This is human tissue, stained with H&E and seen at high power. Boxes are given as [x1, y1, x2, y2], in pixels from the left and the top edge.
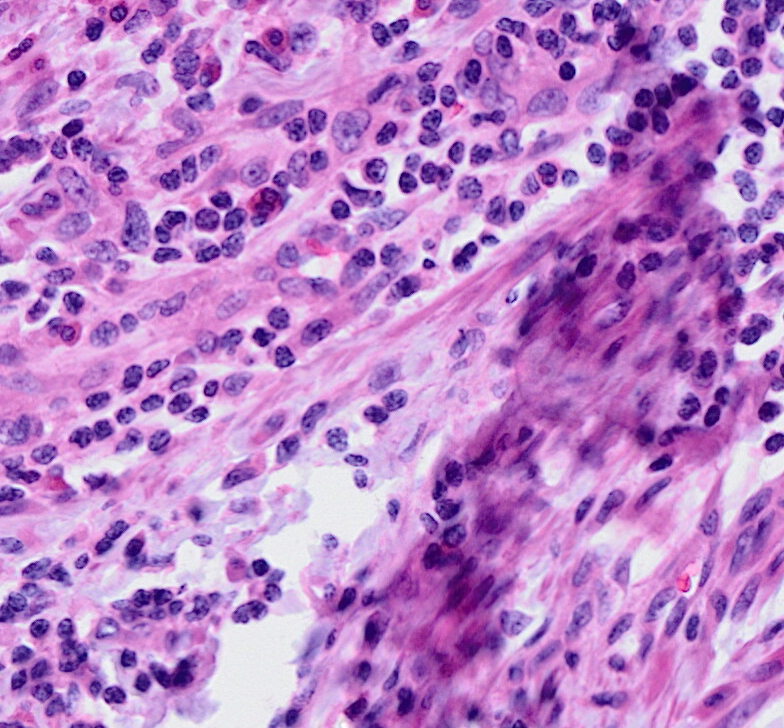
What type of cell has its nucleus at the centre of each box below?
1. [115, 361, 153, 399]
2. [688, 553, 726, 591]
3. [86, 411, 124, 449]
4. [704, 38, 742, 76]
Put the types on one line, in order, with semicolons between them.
lymphocyte; endothelial cell; lymphocyte; lymphocyte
